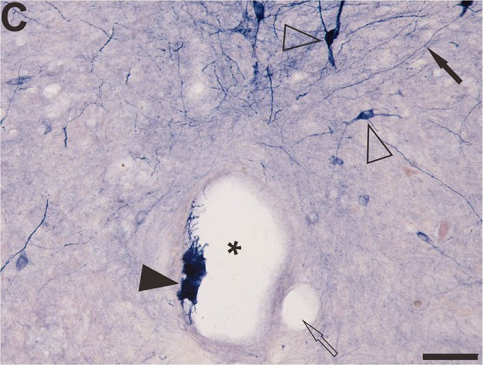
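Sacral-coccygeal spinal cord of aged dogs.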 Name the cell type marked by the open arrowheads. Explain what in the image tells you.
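Dark-stained cell bodies with several tapering processes. Processes branch out into the surrounding neuropil. The answer: neurons.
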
